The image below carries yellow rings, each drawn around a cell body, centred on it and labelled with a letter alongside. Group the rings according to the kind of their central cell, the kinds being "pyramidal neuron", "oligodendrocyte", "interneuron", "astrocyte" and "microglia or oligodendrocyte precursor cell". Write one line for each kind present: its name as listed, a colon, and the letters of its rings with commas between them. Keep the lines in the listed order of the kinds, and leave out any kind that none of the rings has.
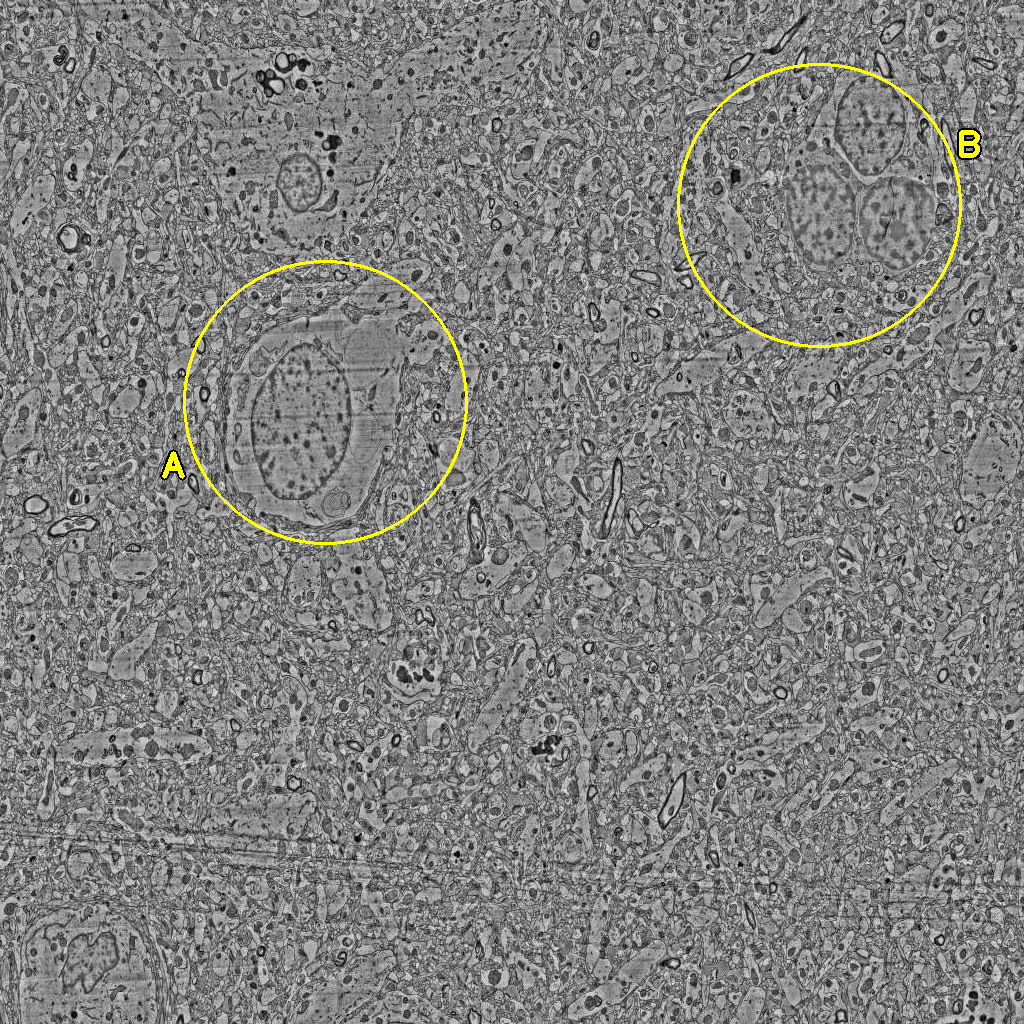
oligodendrocyte: B
astrocyte: A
